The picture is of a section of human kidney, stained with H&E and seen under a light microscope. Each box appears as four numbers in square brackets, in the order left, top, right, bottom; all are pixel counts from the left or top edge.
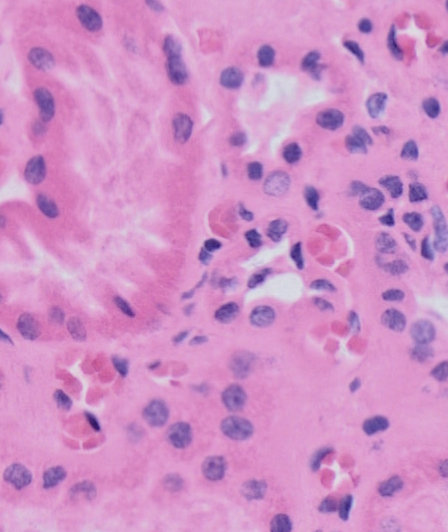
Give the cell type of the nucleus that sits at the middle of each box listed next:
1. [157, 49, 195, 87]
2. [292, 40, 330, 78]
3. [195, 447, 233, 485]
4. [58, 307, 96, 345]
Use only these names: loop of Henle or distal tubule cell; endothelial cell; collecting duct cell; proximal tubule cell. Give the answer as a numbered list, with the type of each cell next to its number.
1. proximal tubule cell
2. loop of Henle or distal tubule cell
3. proximal tubule cell
4. proximal tubule cell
